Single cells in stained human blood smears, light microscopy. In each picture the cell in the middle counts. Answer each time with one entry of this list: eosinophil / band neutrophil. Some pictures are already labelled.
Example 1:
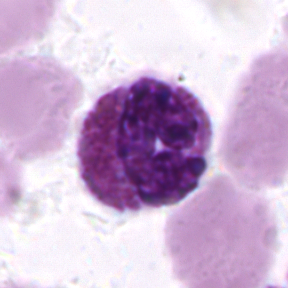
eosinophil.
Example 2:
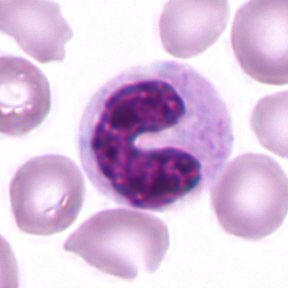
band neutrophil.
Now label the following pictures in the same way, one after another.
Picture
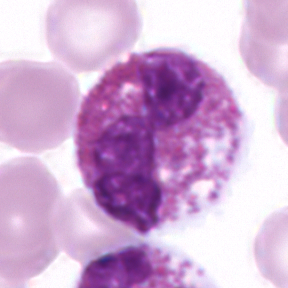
eosinophil.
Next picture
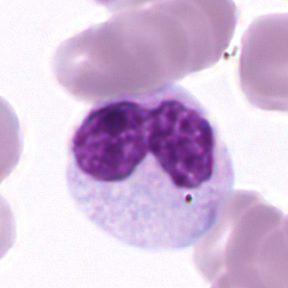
band neutrophil.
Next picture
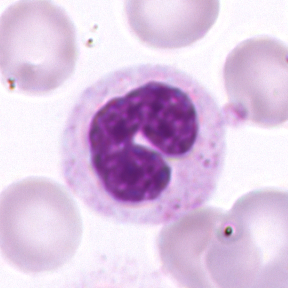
band neutrophil.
